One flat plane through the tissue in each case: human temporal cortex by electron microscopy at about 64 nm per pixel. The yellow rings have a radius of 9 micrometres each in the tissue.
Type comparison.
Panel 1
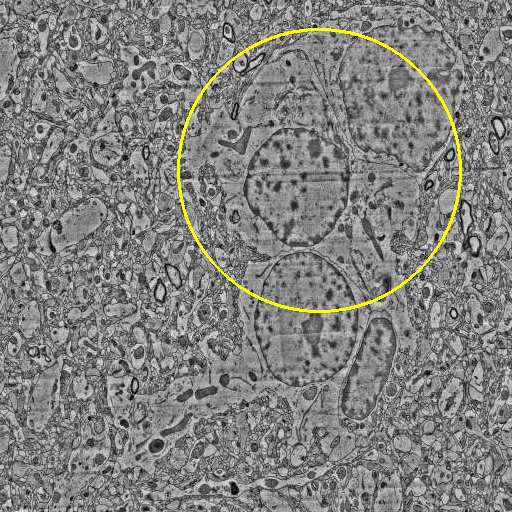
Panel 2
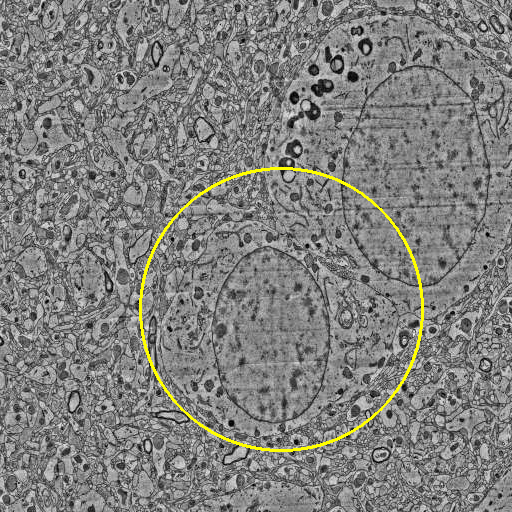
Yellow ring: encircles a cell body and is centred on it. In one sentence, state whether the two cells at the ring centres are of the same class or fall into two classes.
In these panels, the two cells at the ring centres fall into two classes.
